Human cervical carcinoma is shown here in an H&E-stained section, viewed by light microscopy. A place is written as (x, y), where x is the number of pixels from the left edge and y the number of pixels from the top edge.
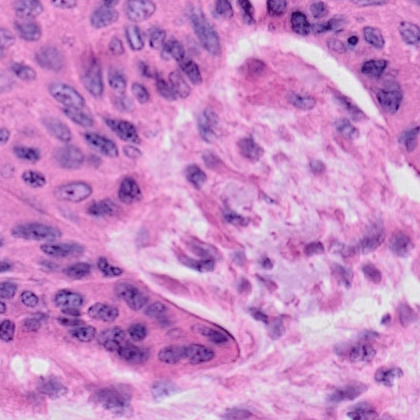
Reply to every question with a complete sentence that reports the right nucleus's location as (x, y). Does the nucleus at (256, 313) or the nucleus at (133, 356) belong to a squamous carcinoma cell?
Of the two nuclei, the nucleus of a squamous carcinoma cell is at (133, 356).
